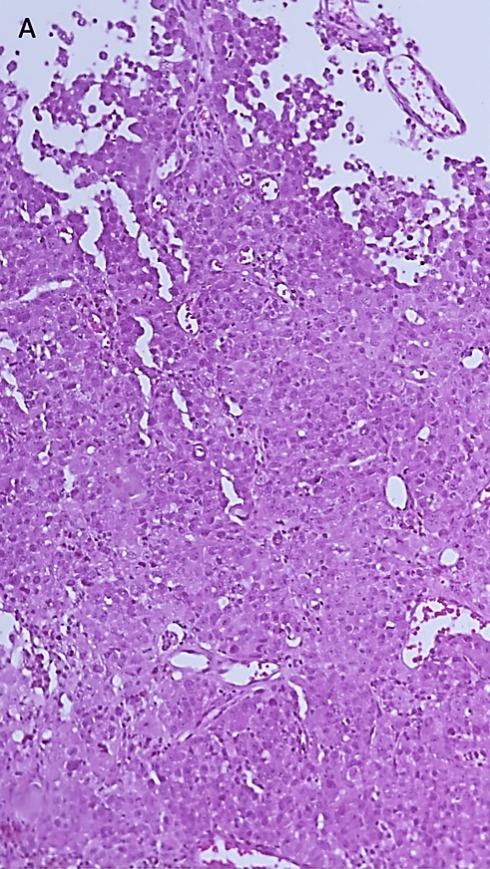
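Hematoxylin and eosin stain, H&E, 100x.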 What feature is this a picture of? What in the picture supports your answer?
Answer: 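Cells lie packed in broad continuous sheets without glands or papillae. Thin vessels run between the packed cells. The answer: Sheets of cells.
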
